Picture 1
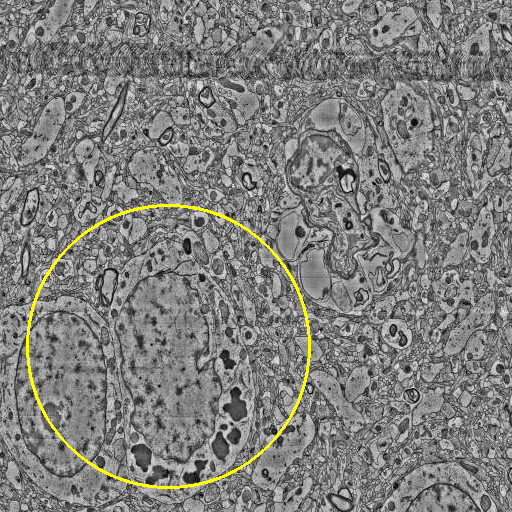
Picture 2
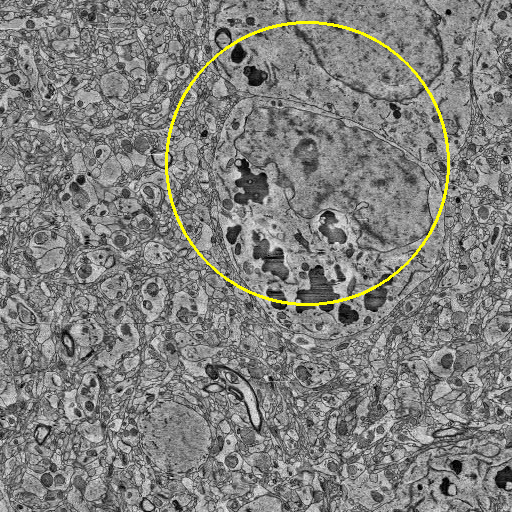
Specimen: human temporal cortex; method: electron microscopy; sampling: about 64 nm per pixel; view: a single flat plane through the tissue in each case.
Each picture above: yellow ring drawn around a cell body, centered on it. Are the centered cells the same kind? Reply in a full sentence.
Yes, the two cells are the same kind.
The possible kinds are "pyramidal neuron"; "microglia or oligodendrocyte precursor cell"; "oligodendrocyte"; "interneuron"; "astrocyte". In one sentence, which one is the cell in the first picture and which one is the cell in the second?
In each picture the ringed cell is an interneuron.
